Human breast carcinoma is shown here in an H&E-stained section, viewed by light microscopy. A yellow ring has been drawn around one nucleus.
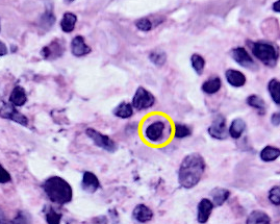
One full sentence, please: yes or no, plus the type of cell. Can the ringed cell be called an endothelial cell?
No, as a cell type, the ringed cell is a lymphocyte rather than an endothelial cell.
